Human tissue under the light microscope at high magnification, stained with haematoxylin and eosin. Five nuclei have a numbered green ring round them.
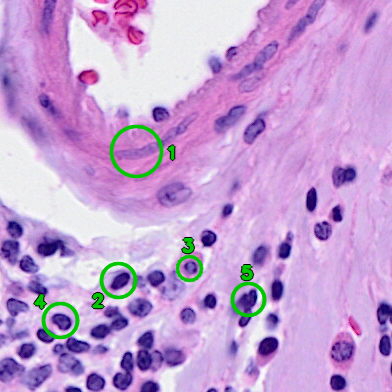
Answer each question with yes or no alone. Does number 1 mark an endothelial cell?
yes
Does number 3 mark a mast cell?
yes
